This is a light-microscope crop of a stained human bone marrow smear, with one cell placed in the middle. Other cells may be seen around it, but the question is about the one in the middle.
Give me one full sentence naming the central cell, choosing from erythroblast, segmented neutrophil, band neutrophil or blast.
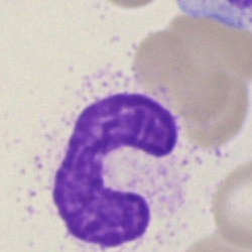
Here the cell in the middle is a band neutrophil.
